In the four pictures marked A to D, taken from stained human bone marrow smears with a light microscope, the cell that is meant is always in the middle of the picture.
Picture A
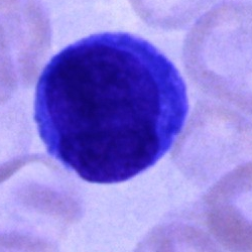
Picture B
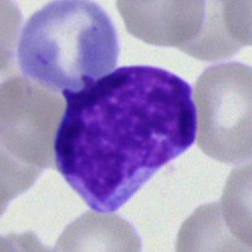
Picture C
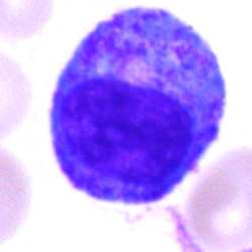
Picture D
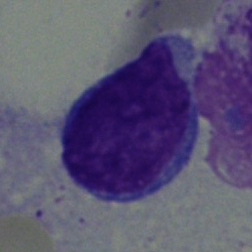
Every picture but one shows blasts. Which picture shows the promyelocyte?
C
